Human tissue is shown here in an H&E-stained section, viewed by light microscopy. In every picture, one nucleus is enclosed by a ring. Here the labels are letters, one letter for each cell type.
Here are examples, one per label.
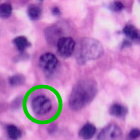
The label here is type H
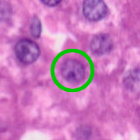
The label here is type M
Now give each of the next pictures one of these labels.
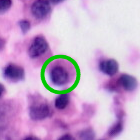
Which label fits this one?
type H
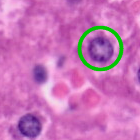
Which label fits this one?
type M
